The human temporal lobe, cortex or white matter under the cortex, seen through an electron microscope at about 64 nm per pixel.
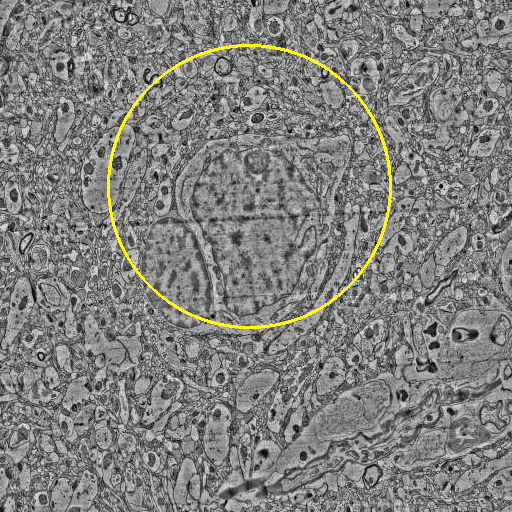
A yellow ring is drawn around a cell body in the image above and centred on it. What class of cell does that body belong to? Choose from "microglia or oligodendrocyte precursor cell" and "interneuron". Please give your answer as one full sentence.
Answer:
The yellow ring above is centred on the cell body of an interneuron.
